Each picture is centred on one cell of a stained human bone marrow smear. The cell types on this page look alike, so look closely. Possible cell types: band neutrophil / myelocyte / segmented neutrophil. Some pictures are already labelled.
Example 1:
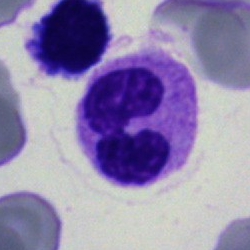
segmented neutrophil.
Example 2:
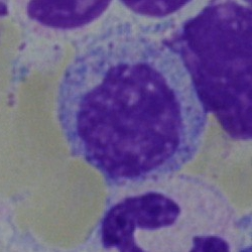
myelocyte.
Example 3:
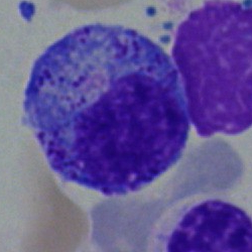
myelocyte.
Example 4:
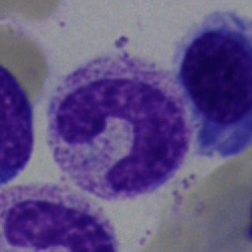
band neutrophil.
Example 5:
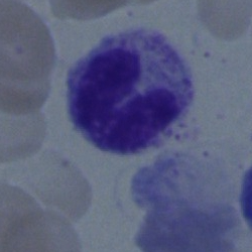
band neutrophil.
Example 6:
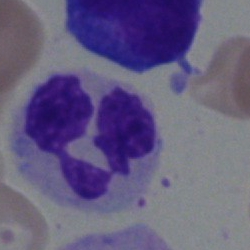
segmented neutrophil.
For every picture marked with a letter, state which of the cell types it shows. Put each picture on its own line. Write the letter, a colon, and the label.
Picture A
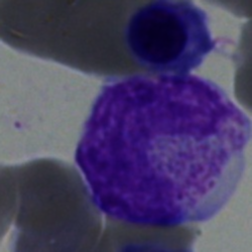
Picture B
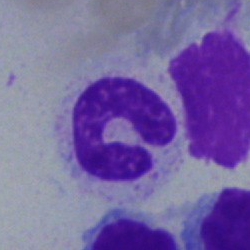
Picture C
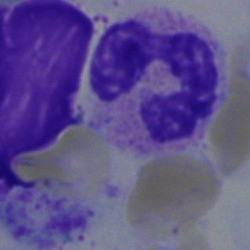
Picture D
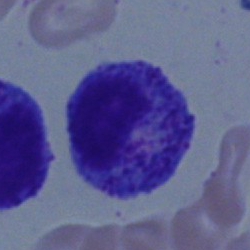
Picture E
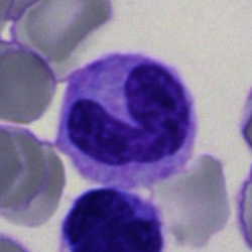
A: band neutrophil.
B: band neutrophil.
C: segmented neutrophil.
D: myelocyte.
E: band neutrophil.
